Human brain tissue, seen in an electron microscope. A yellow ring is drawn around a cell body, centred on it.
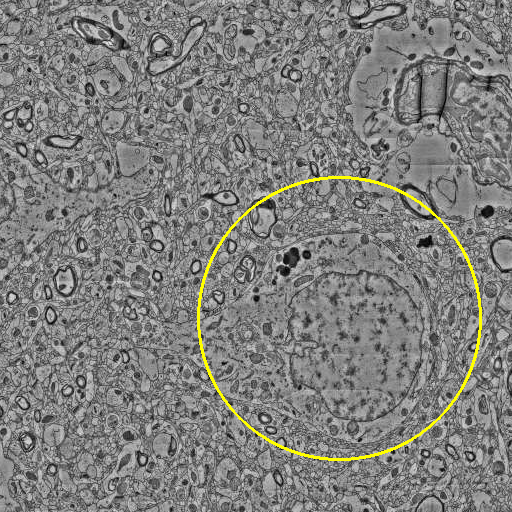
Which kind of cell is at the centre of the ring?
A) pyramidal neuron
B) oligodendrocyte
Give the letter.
A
